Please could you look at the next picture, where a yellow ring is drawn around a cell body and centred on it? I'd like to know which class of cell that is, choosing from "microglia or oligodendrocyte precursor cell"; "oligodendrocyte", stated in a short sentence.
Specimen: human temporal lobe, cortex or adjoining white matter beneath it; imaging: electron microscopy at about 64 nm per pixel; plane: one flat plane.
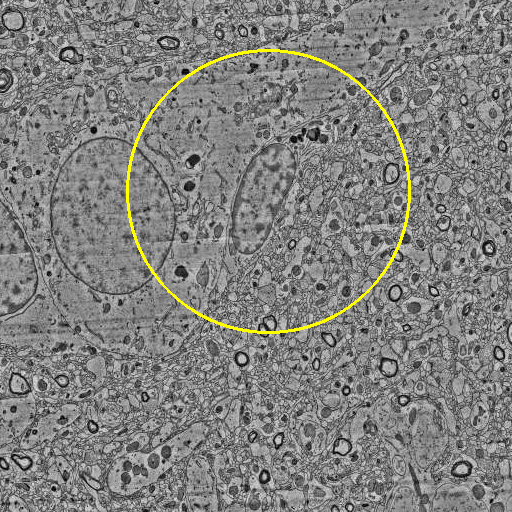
The ring's centre lies on a microglial cell or oligodendrocyte precursor cell.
